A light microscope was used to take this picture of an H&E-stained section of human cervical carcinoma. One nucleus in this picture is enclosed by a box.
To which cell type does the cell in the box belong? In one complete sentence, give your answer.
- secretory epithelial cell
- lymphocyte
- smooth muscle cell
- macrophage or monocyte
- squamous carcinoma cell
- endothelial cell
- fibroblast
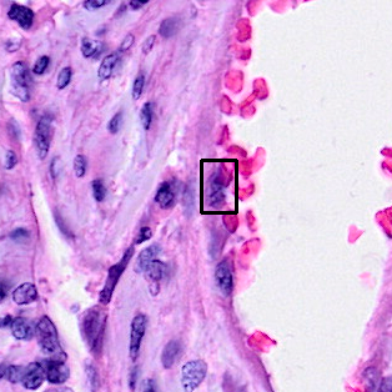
To be brief about it, the cell in the box is an endothelial cell.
